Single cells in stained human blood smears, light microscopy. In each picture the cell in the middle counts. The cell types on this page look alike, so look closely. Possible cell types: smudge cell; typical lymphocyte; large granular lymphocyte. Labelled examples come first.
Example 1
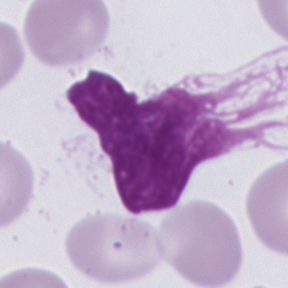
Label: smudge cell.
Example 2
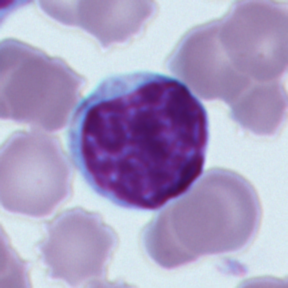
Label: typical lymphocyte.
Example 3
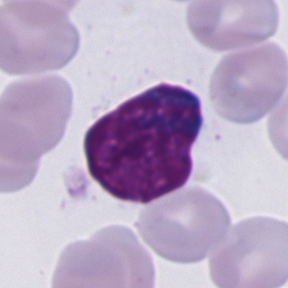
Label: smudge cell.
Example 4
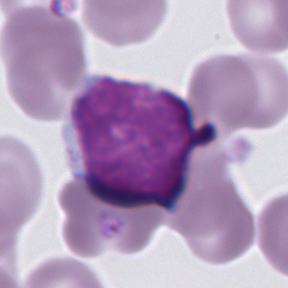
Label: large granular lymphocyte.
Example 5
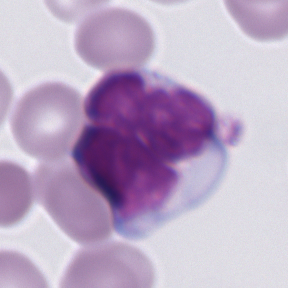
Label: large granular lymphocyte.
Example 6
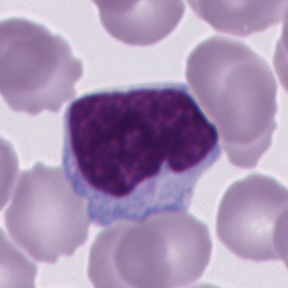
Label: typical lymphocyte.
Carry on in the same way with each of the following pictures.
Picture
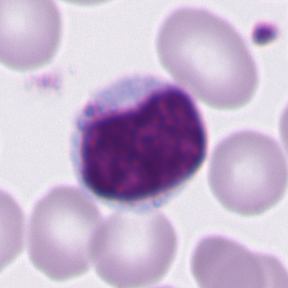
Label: typical lymphocyte.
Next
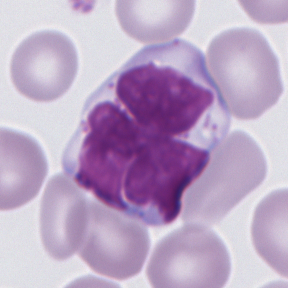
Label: large granular lymphocyte.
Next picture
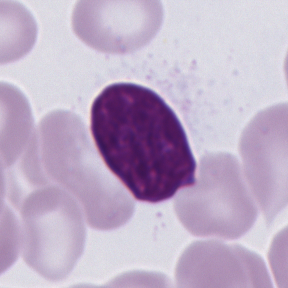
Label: smudge cell.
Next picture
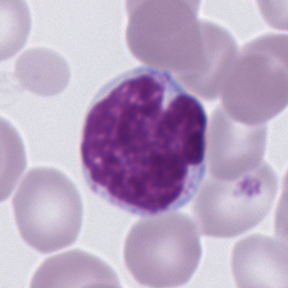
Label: large granular lymphocyte.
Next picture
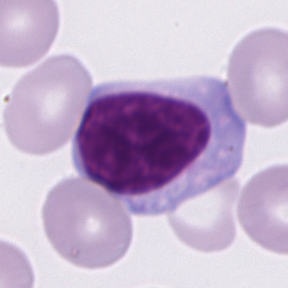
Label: typical lymphocyte.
